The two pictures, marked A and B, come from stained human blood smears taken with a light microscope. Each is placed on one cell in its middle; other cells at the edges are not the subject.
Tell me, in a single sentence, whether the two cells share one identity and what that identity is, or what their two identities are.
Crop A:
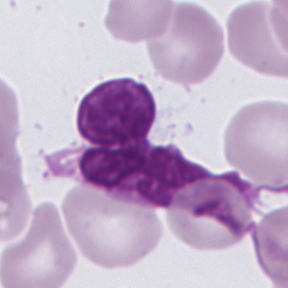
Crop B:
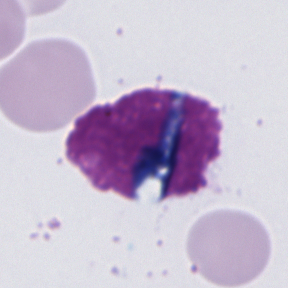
Yes, both crops show smudge cells in the centre of the field.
